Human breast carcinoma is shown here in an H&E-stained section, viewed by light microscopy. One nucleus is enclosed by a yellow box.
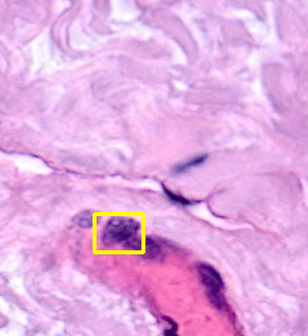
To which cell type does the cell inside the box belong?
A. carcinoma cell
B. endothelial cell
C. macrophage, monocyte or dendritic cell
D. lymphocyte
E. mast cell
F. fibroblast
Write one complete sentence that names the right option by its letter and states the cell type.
The right option is B, the cell inside the box being an endothelial cell.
